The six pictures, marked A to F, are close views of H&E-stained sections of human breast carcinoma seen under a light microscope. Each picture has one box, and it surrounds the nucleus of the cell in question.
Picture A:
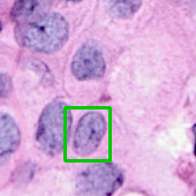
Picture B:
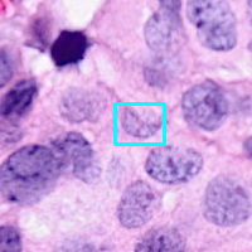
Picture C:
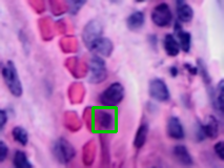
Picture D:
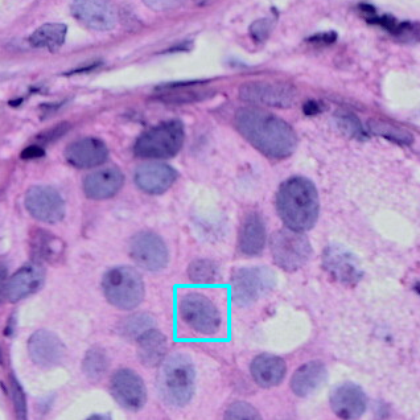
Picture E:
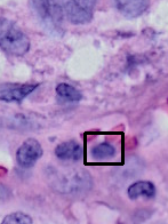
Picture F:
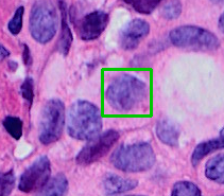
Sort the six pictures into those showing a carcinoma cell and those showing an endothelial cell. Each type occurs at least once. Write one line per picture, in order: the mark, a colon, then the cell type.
A: carcinoma cell
B: carcinoma cell
C: endothelial cell
D: carcinoma cell
E: endothelial cell
F: carcinoma cell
